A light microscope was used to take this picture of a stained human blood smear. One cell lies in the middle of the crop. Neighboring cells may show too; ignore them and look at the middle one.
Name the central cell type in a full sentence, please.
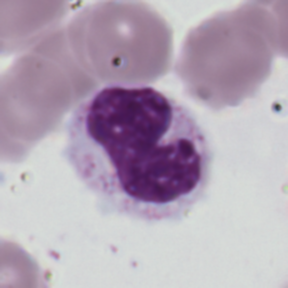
The middle of this crop holds a band neutrophil.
